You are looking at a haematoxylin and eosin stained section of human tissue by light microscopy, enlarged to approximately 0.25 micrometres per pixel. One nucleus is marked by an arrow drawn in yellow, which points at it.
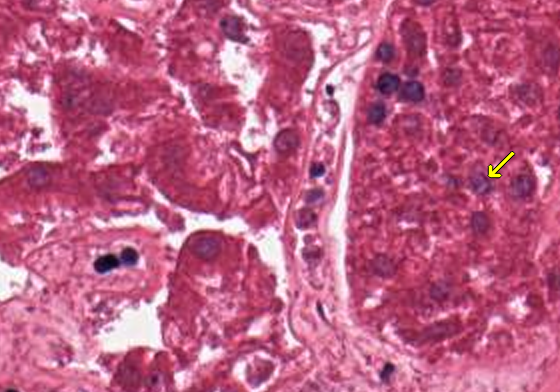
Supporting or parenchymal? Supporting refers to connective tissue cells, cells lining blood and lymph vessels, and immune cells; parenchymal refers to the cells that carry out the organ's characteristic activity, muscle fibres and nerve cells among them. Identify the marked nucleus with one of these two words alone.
parenchymal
